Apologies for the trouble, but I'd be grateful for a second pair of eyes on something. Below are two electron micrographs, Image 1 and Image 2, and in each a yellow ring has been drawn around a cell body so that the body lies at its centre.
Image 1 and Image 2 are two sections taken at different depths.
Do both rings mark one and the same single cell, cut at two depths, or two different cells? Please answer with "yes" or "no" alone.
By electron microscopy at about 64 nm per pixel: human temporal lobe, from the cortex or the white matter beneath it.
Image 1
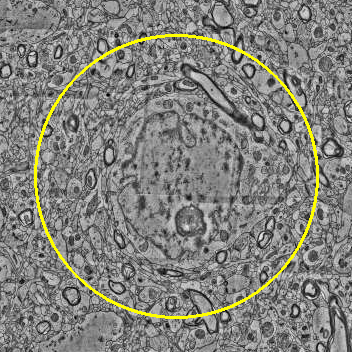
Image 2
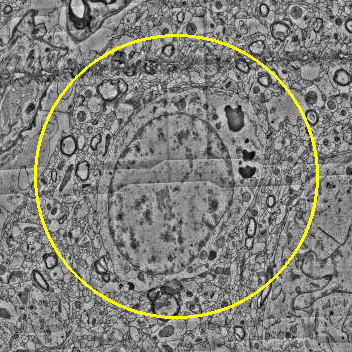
no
